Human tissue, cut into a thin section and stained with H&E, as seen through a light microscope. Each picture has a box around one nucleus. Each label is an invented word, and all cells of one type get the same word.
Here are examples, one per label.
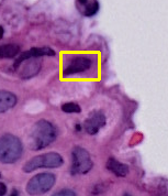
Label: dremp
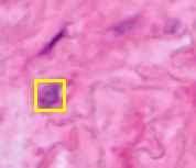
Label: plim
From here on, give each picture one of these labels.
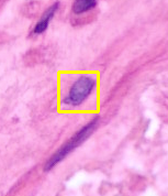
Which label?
plim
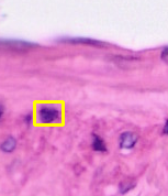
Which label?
plim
